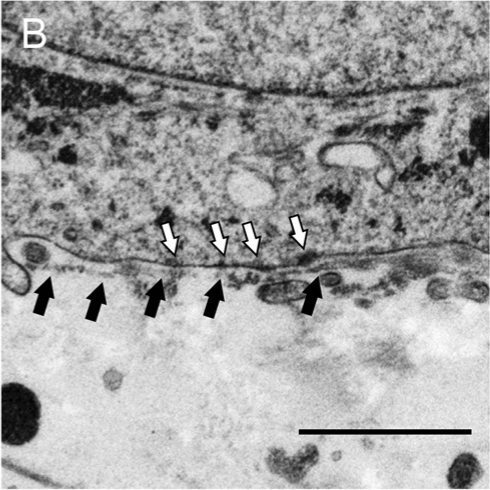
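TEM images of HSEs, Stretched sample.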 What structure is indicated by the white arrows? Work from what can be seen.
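Hemidesmosome. Several small dark plaques line the inner side of the basal cell membrane. They are spaced along a long stretch of the cell's lower border.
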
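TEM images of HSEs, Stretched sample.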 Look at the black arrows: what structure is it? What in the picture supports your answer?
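Lamina densa. A thin dark line runs beneath and parallel to the basal cell membrane. The line follows the cell border over a long stretch.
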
